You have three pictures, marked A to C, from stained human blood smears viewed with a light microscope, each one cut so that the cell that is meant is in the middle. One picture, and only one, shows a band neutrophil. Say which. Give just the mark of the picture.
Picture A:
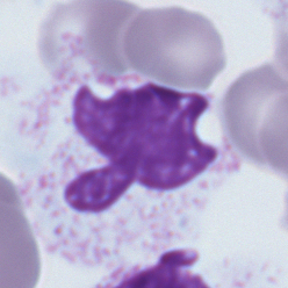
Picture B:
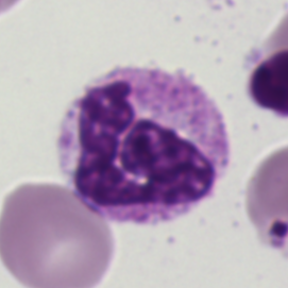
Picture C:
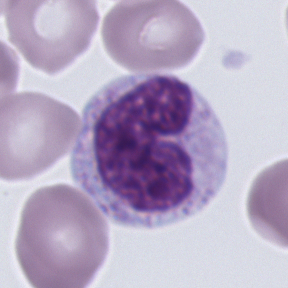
C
